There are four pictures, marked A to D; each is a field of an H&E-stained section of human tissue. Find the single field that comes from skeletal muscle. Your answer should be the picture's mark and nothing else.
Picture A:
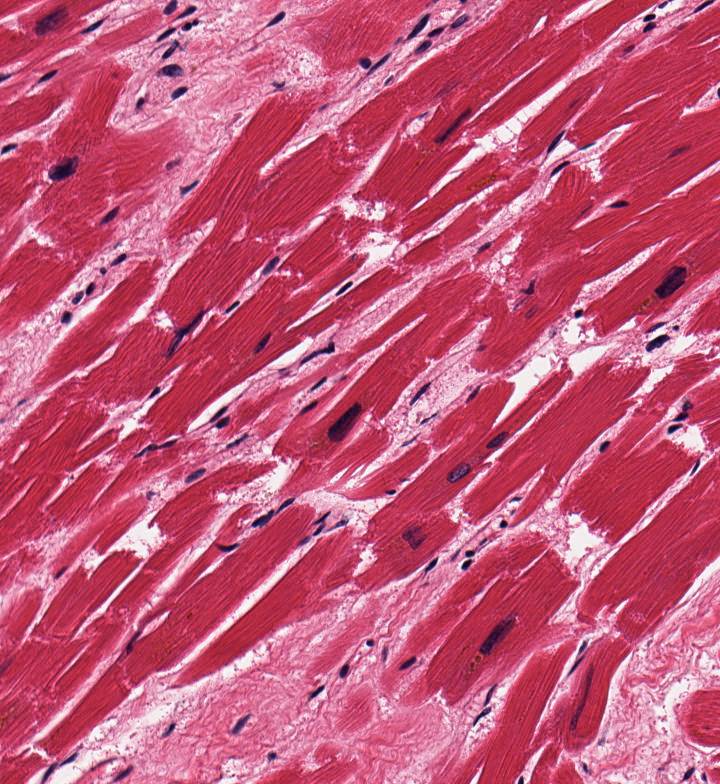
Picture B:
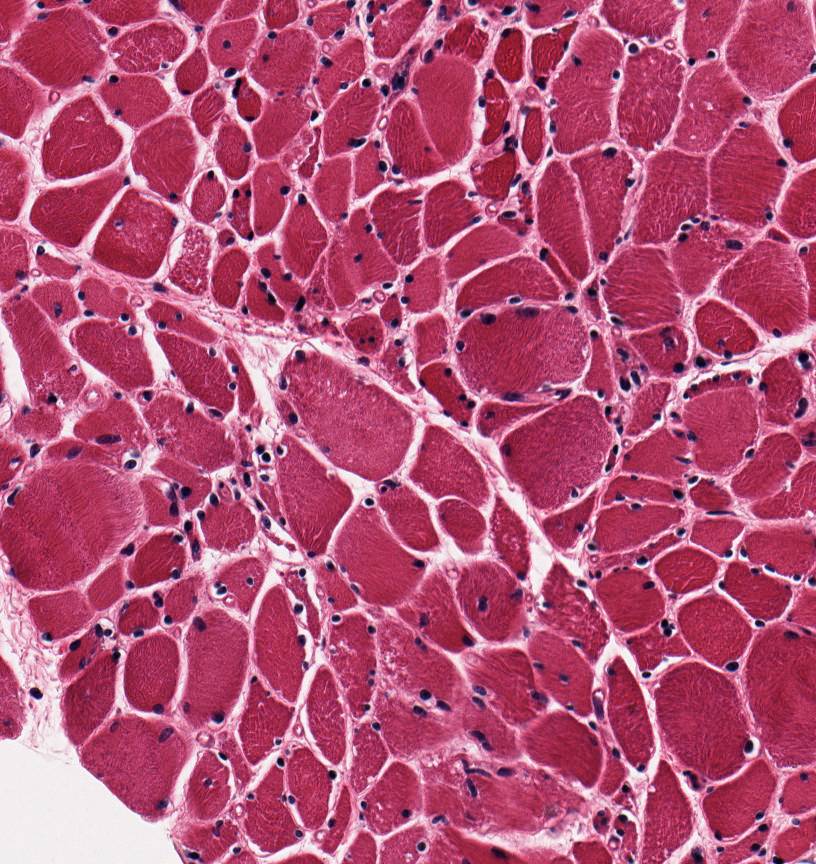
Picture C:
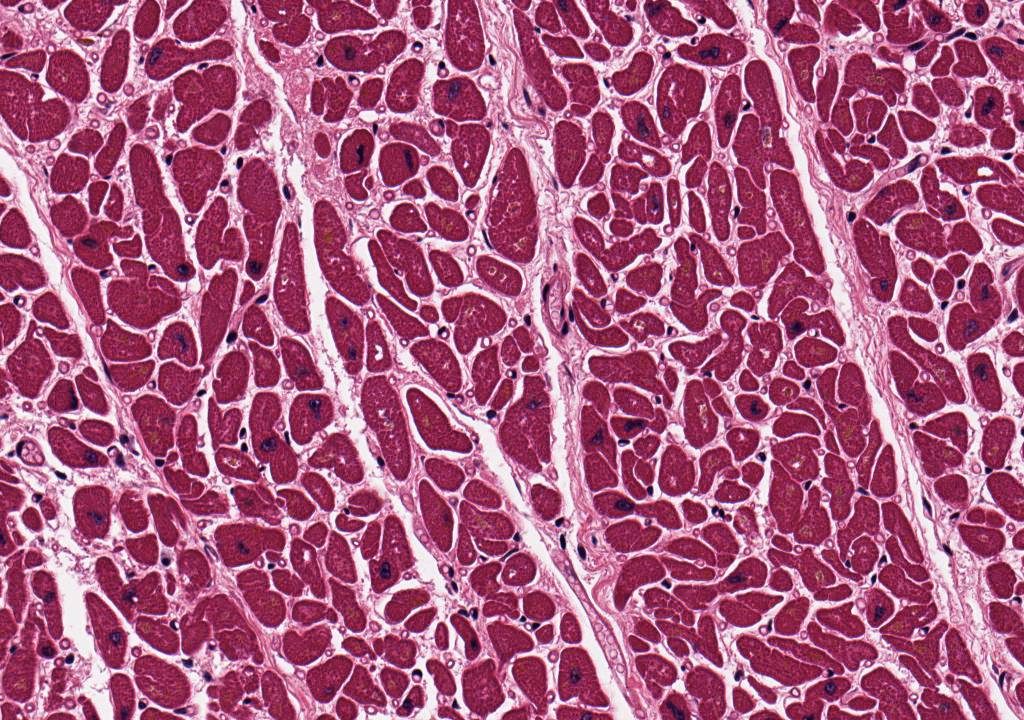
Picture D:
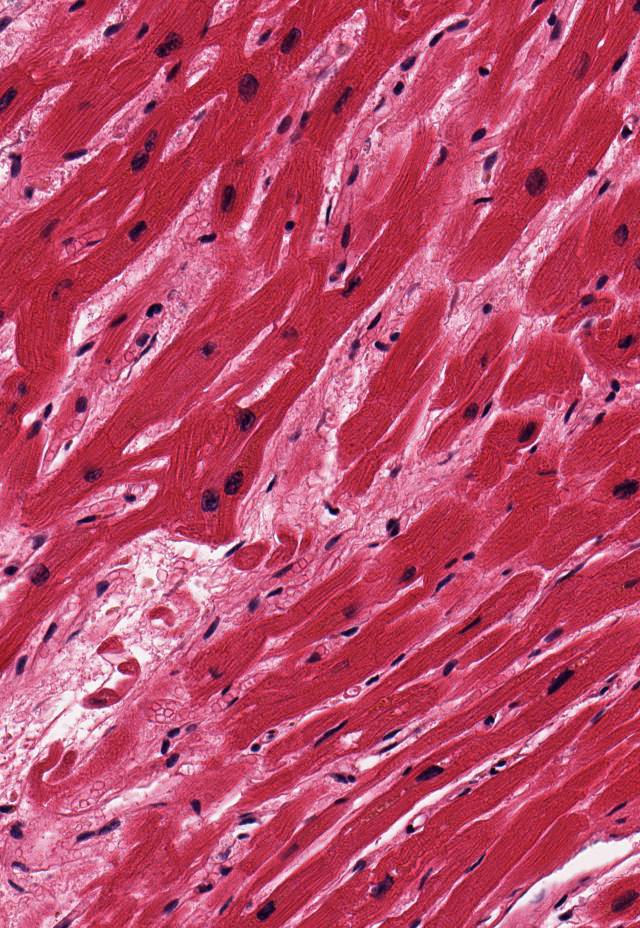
B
